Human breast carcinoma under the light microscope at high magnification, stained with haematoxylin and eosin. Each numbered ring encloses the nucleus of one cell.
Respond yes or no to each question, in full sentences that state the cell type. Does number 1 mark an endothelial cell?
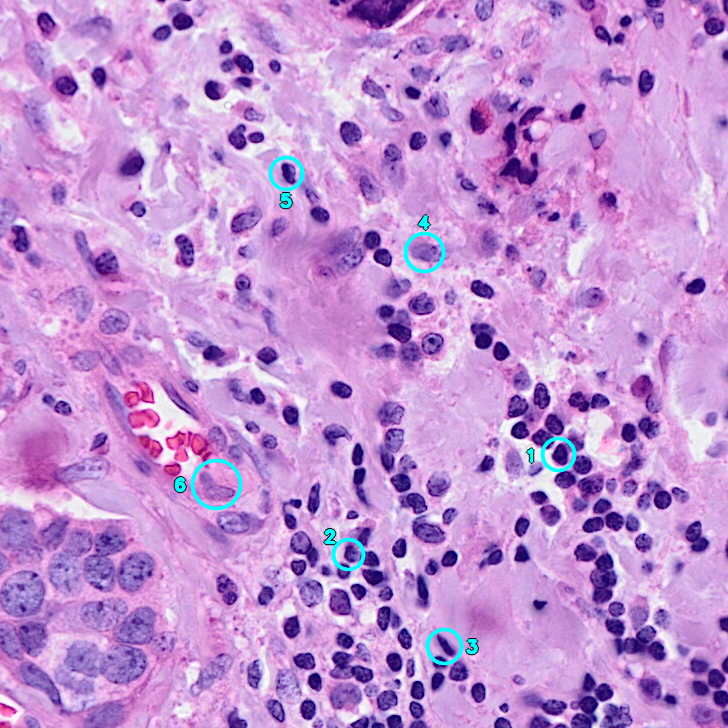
No, the cell at marker 1 is not an endothelial cell; it is a lymphocyte.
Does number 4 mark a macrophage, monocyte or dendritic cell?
Yes, the cell with its nucleus marked 4 is a macrophage, monocyte or dendritic cell.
